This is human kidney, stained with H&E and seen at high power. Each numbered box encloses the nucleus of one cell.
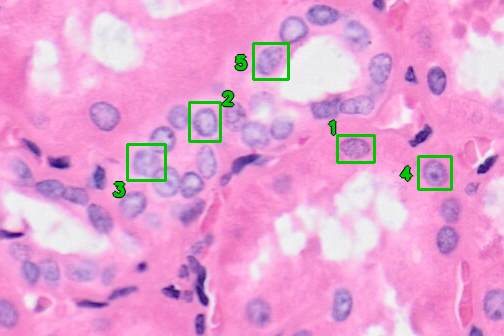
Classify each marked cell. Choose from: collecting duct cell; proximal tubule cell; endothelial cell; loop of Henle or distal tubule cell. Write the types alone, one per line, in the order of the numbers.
proximal tubule cell
collecting duct cell
collecting duct cell
proximal tubule cell
collecting duct cell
